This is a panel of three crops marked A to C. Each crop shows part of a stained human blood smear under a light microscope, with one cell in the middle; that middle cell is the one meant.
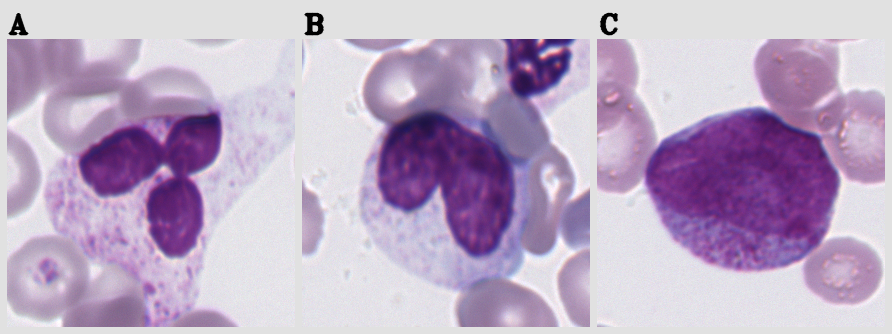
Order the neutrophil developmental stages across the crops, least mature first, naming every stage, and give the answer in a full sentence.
By increasing maturity, the cells should be ordered crop C (a promyelocyte), crop B (a metamyelocyte) and crop A (a segmented neutrophil).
